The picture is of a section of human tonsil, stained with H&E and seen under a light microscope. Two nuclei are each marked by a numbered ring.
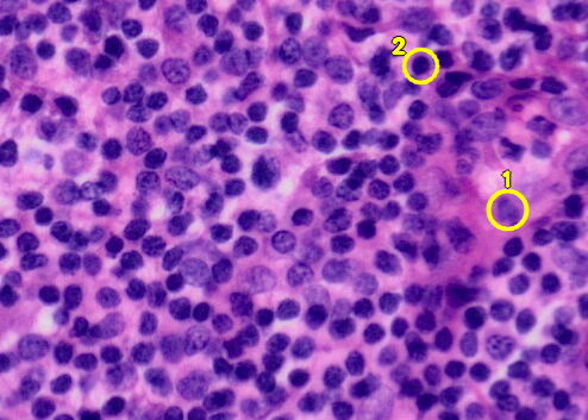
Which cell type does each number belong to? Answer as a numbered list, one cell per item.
1. endothelial cell
2. small lymphocyte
